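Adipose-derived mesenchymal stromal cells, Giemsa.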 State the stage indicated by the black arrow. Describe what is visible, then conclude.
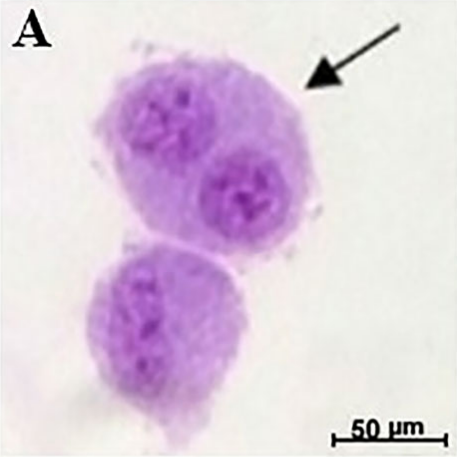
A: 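The marked cell holds two separate round nuclei. Both nuclei lie within one shared pale purple cytoplasm. That points to this answer: binucleated cells.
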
